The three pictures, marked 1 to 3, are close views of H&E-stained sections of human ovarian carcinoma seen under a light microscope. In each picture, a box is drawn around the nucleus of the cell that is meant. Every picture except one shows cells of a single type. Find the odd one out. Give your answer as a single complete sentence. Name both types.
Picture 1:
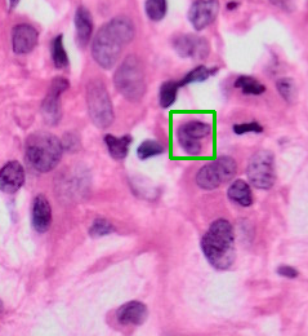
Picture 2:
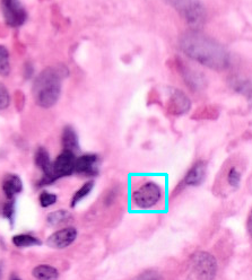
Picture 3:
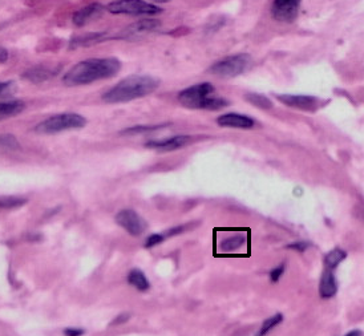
The others show “macrophages or monocytes”, but picture 3 shows a fibroblast.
